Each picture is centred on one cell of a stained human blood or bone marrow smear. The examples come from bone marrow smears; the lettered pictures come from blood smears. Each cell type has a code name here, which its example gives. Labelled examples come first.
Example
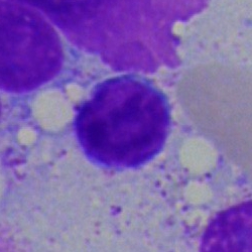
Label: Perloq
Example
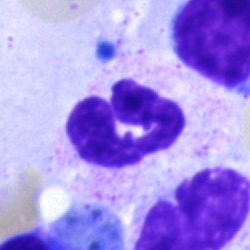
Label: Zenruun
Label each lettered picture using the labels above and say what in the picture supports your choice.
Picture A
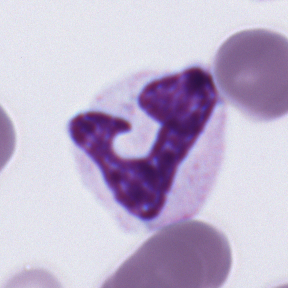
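Zenruun. The nucleus is one continuous thick band curled into a hook shape.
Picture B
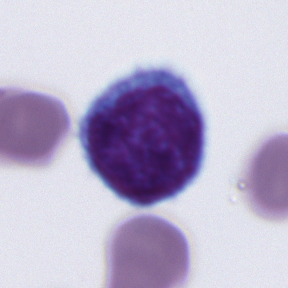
Perloq. The cytoplasm forms only a thin rim around the nucleus.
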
